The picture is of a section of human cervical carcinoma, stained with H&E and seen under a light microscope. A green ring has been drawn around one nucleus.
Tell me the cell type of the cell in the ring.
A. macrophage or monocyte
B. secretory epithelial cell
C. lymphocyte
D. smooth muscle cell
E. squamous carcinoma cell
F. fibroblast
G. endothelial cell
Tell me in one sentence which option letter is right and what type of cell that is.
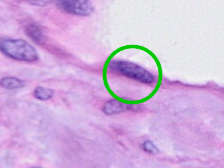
Option G gives the correct identity of the cell in the ring, which is an endothelial cell.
